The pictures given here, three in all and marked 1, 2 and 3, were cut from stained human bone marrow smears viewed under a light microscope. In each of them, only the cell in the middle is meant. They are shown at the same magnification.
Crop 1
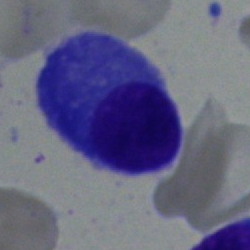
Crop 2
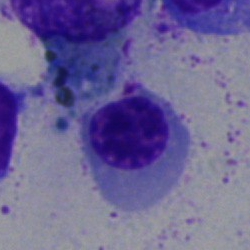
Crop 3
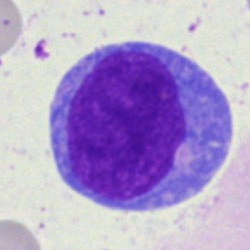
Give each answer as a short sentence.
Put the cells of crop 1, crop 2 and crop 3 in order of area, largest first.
Going down, they run 3, 1, 2.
